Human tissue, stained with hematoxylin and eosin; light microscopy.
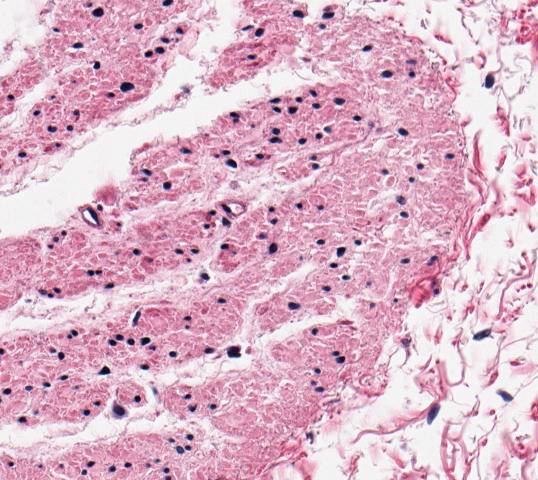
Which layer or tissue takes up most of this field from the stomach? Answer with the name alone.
smooth muscle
